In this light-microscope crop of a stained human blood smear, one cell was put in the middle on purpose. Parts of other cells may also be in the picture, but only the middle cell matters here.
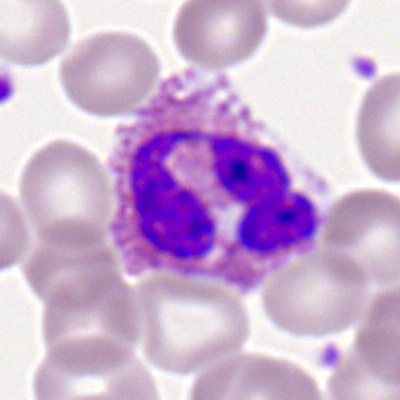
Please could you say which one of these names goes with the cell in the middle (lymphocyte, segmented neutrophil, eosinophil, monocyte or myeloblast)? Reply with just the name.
eosinophil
